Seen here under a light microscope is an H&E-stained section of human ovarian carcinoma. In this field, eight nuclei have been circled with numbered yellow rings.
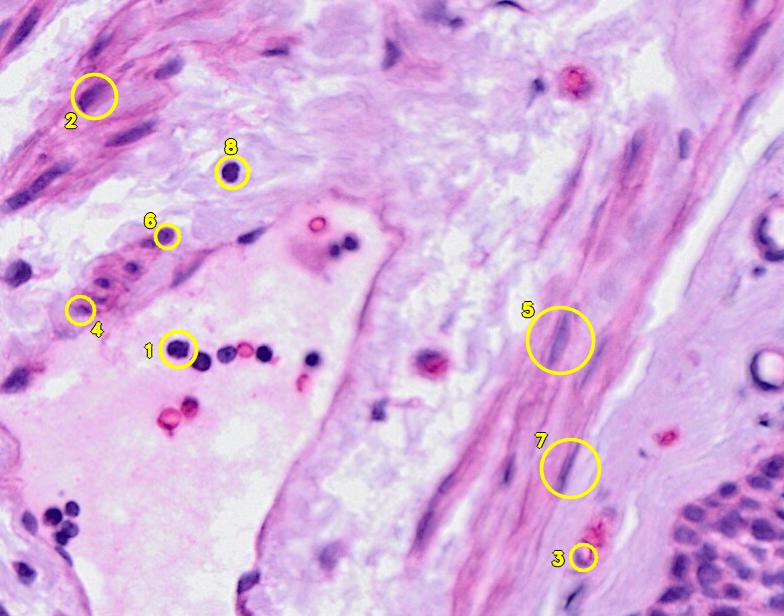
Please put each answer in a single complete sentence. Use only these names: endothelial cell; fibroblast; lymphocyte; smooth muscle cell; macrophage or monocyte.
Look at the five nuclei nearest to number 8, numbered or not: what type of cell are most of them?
The majority of the five nuclei closest to number 8 belong to smooth muscle cells.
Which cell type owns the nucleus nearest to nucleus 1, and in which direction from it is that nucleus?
Just below and to the right of nucleus 1 lies the nearest nucleus, which belongs to a lymphocyte.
